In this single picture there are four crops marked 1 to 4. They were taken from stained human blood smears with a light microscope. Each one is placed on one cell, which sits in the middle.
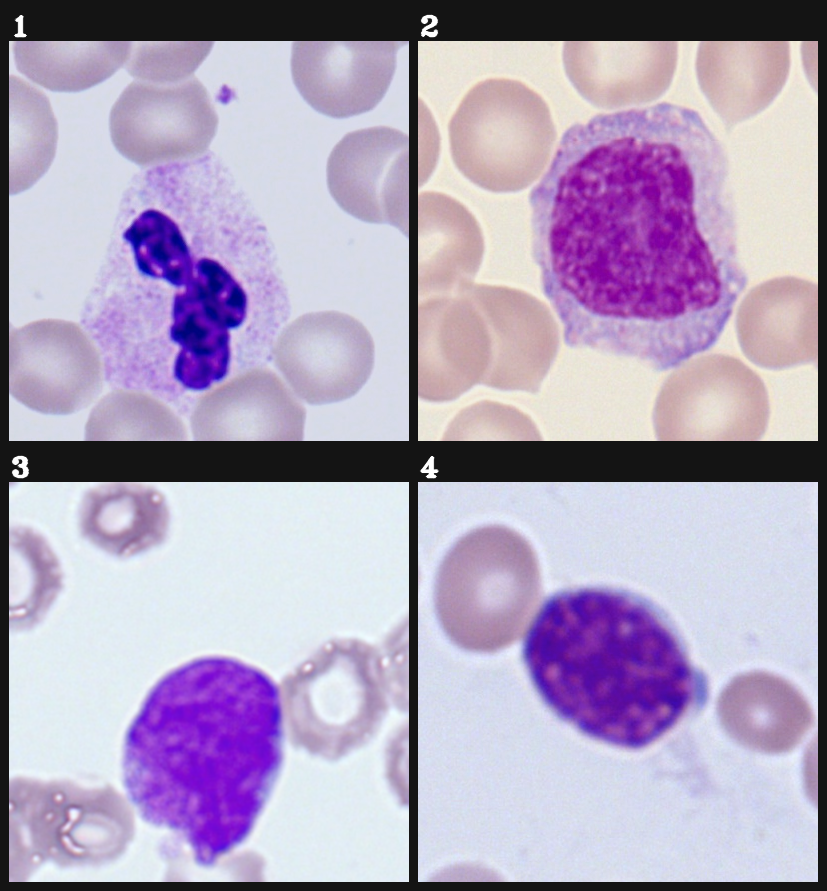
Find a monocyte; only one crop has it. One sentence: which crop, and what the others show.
Crop 2 is best given as a monocyte, while crop 1 is a segmented neutrophil, crop 3 is a myeloblast and crop 4 is a lymphocyte.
